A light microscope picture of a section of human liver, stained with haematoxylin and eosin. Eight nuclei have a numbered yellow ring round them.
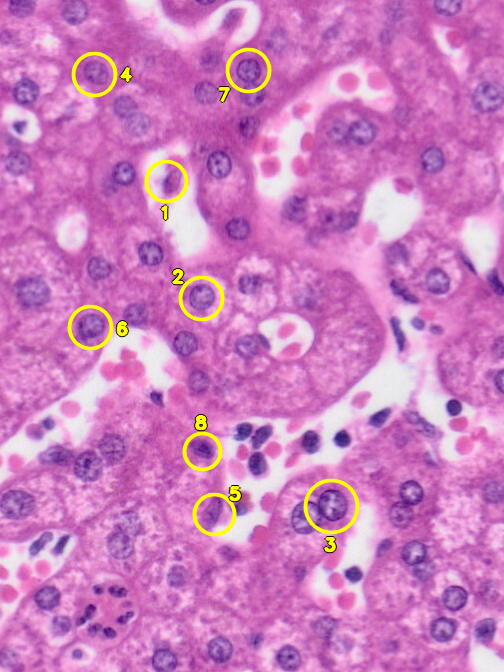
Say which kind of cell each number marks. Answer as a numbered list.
1. Kupffer cell
2. hepatocyte
3. hepatocyte
4. hepatocyte
5. Kupffer cell
6. hepatocyte
7. hepatocyte
8. fibroblast or stellate cell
